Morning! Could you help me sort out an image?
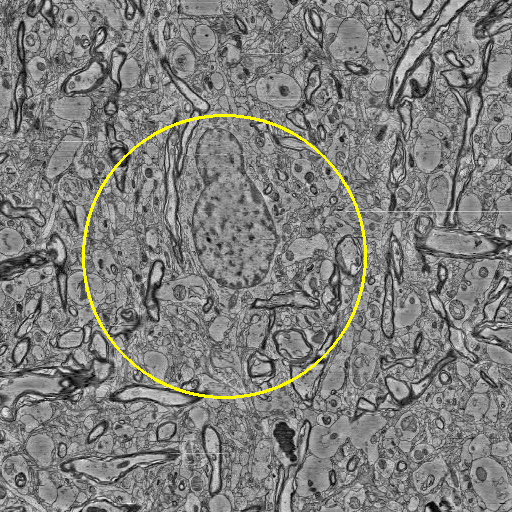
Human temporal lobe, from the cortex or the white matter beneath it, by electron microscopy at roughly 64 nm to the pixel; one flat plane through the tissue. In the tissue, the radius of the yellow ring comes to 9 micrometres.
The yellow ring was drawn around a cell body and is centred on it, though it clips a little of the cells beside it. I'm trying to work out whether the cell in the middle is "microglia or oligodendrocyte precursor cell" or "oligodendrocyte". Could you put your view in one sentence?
The ringed cell body is that of a microglial cell or oligodendrocyte precursor cell.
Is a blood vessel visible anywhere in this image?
No, no vessel shows anywhere in the image.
